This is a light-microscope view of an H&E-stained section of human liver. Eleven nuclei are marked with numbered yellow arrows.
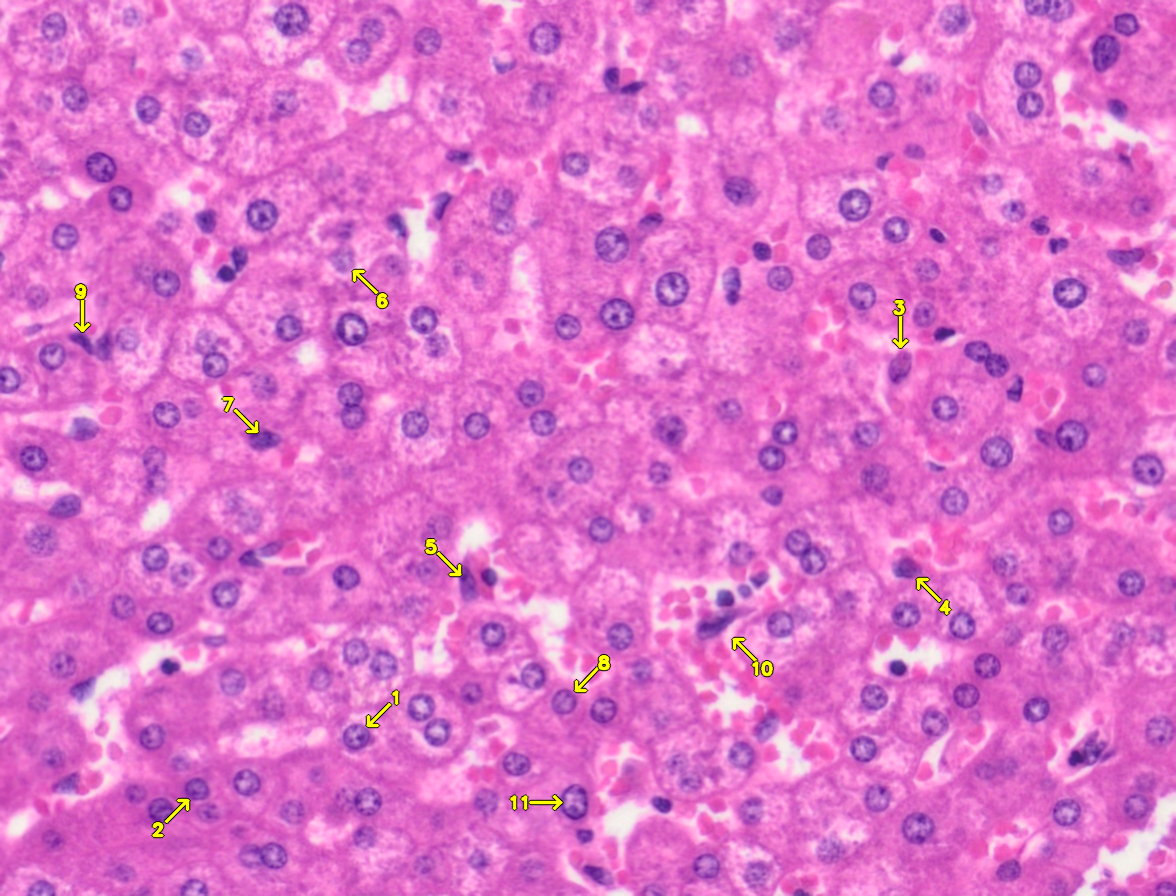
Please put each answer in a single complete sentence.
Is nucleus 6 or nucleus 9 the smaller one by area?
The smaller nucleus is 9, and 6 covers roughly 2 times its area.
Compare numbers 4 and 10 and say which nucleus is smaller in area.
With nucleus 10 about 2 times its size, nucleus 4 is the smaller of the two.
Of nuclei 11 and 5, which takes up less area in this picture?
Nucleus 5 covers less area, with nucleus 11 about 1.5 times as large.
